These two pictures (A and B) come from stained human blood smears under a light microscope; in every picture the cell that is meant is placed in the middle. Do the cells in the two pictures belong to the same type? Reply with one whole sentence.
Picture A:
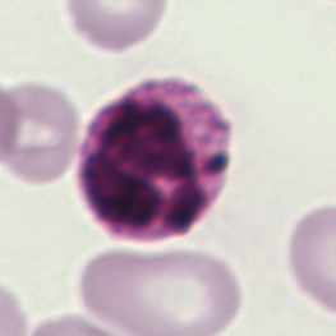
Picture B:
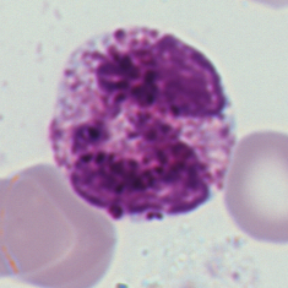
Yes; the cells in both pictures are basophils.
